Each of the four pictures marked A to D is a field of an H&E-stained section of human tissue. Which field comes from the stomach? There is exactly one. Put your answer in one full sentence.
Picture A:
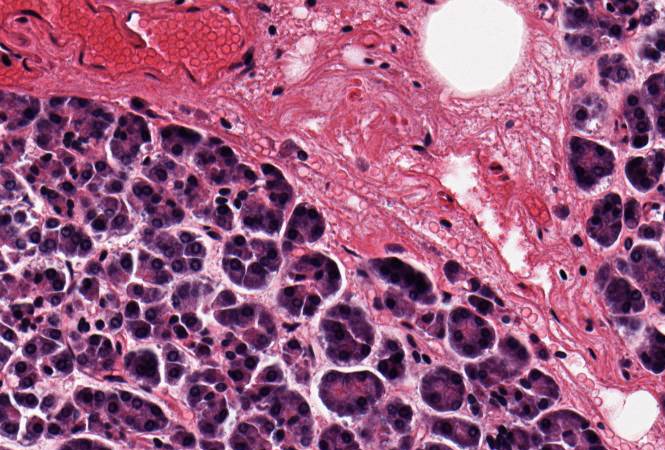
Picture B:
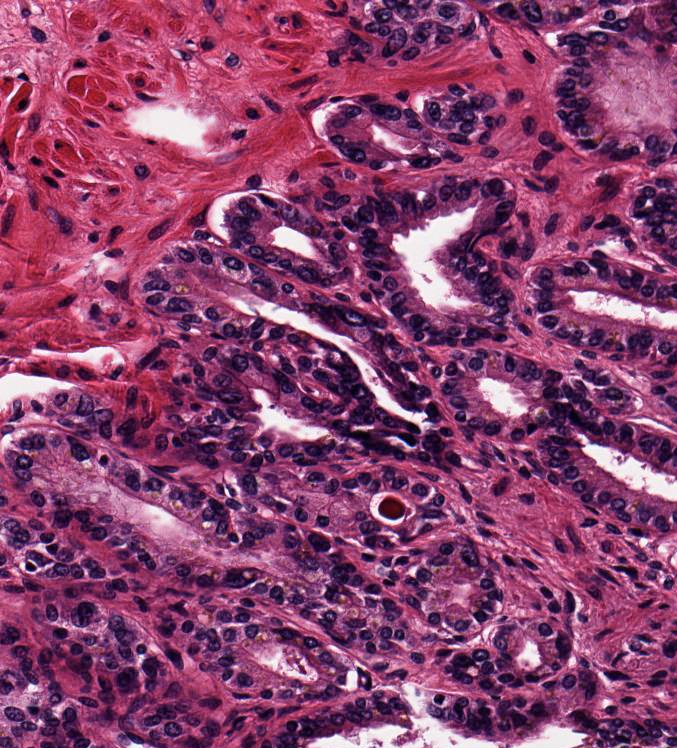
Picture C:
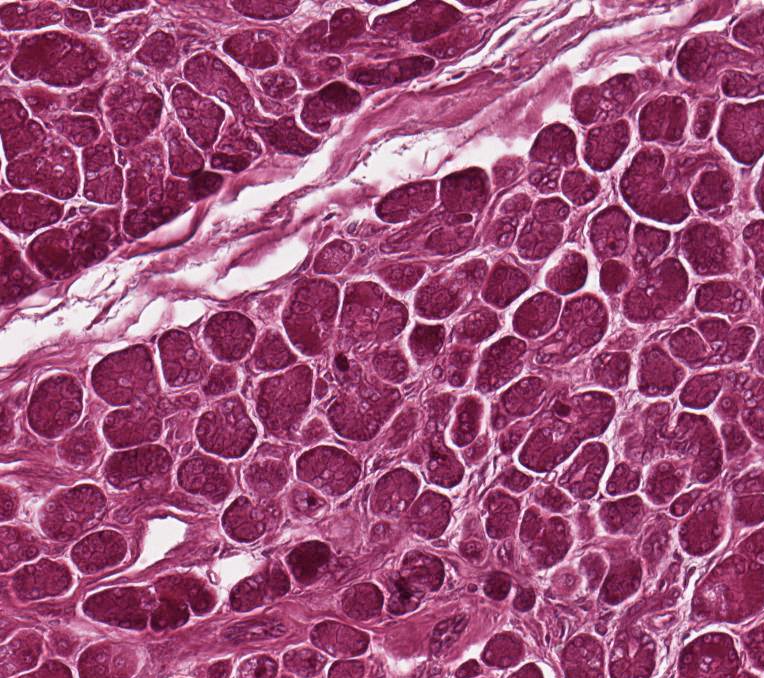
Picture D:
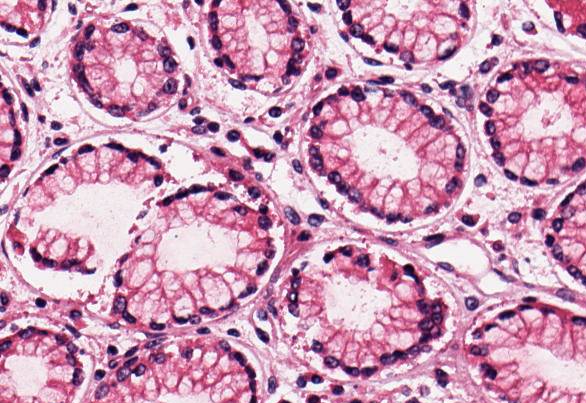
The one that comes from the stomach is picture D.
